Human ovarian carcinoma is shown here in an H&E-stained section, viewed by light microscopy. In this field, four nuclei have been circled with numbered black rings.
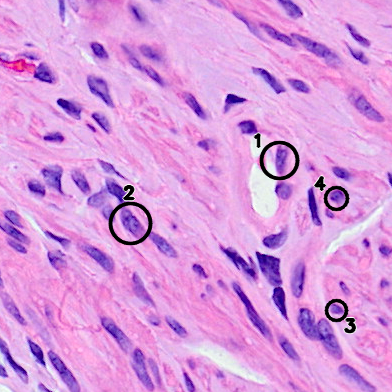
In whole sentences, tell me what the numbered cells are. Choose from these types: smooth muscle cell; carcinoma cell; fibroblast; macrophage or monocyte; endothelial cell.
Cell 1 is an endothelial cell. Cells 2, 3 and 4 are smooth muscle cells.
